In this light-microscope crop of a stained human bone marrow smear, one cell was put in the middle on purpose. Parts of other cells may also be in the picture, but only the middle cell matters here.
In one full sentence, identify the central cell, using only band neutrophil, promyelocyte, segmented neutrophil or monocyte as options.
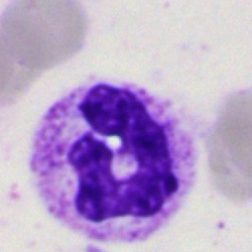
Within this crop, a segmented neutrophil occupies the central position.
